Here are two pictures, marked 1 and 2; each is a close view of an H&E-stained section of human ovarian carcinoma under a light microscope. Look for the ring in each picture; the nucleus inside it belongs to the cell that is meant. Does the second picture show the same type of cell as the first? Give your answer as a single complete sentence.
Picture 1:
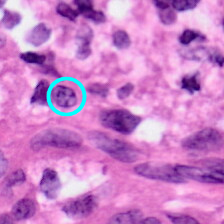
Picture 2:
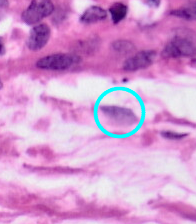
No, the types are not the same, since picture 1 shows a “macrophage or monocyte” and picture 2 a fibroblast.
